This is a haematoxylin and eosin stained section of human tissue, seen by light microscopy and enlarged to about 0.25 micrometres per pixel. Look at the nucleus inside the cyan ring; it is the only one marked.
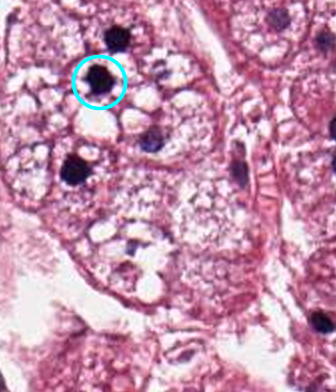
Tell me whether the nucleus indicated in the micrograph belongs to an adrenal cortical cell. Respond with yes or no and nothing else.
yes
